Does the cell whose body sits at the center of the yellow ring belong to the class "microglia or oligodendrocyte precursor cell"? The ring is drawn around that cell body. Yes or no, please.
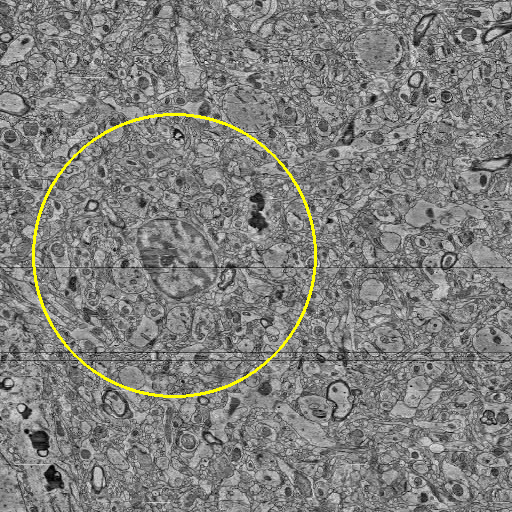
No, it belongs to another class.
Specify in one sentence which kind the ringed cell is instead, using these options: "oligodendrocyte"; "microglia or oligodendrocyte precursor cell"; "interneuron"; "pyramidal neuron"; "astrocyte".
Instead, the ring surrounds an oligodendrocyte in this picture.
